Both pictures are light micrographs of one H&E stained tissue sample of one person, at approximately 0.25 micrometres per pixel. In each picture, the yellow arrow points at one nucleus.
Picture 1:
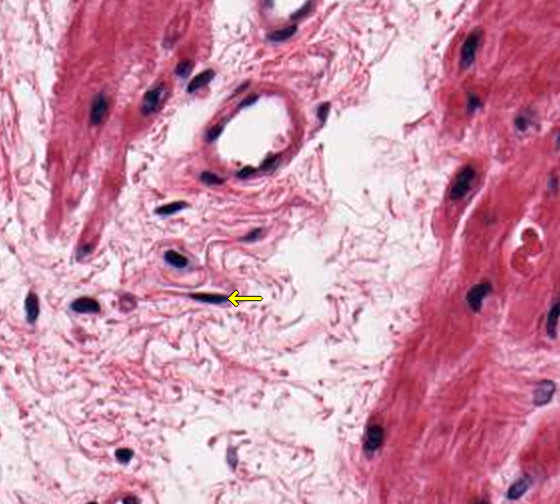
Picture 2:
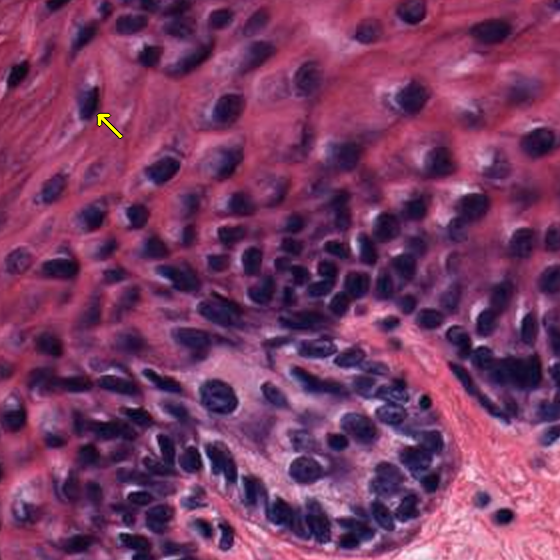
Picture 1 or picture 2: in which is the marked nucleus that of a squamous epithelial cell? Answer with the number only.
2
